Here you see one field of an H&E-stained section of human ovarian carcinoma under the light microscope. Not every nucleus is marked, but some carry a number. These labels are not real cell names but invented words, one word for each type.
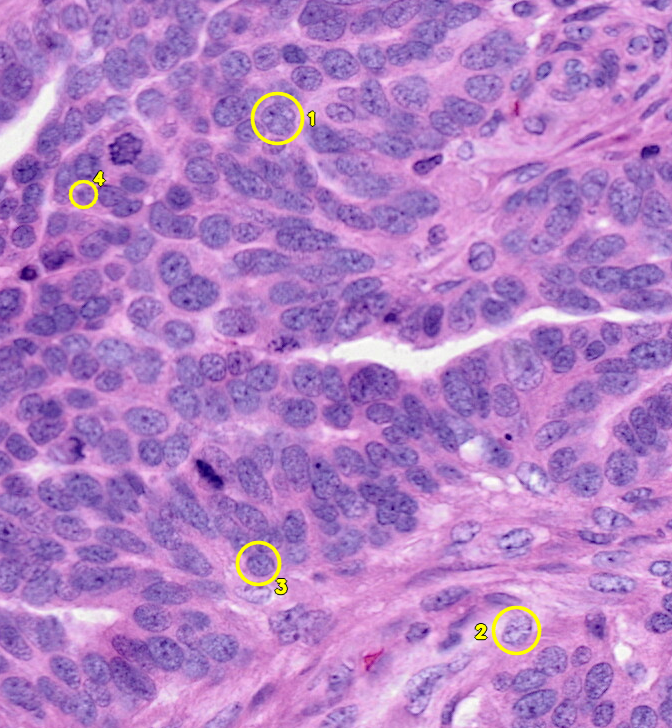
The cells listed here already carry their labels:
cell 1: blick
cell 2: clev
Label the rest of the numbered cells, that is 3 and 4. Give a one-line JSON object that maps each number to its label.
{"3": "blick", "4": "blick"}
